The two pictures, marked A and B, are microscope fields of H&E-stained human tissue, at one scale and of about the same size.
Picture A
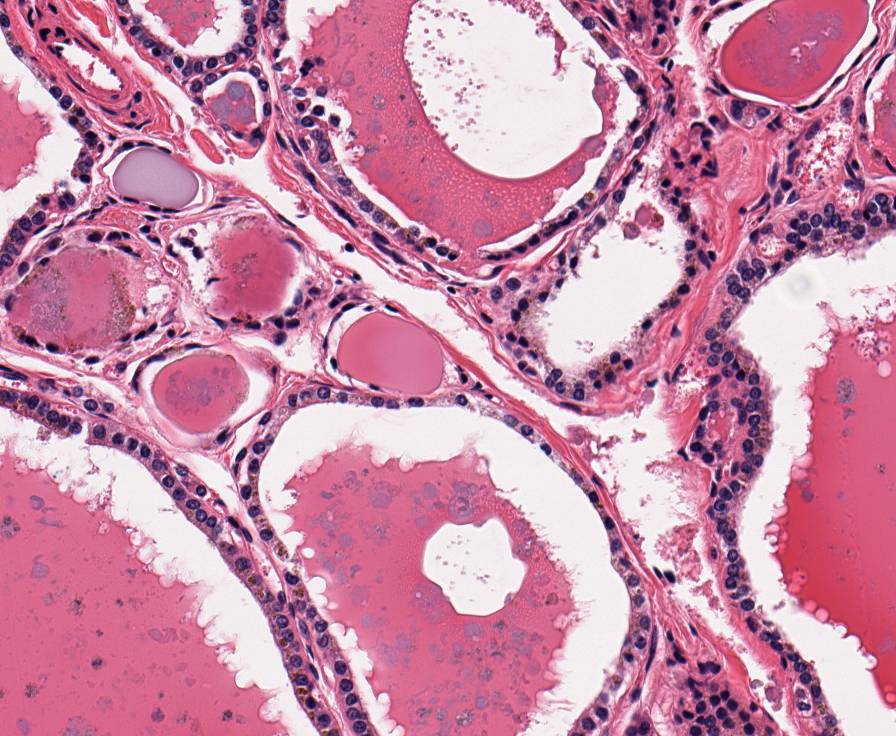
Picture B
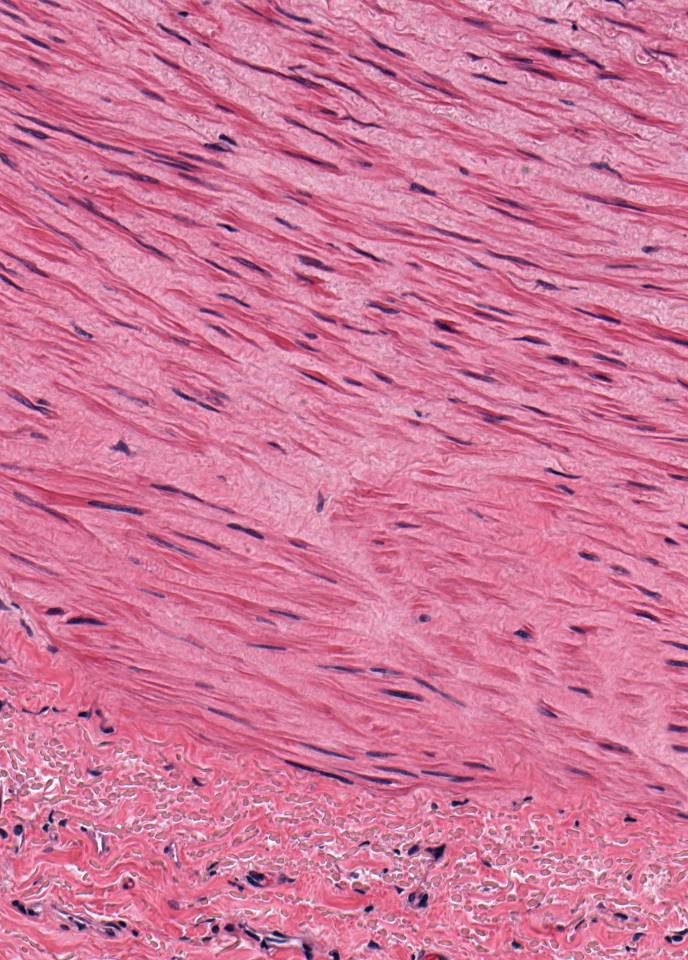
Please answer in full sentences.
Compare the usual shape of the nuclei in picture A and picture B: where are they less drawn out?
The nuclei are rounder in picture A.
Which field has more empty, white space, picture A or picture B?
It is picture A in which white space covers the larger part.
